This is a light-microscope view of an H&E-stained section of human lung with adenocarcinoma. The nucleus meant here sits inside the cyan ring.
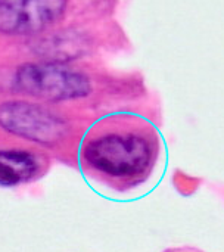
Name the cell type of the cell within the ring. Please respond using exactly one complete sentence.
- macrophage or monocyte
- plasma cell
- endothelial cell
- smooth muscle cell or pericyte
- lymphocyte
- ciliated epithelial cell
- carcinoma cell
The correct response here is that the cell within the ring is a carcinoma cell.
